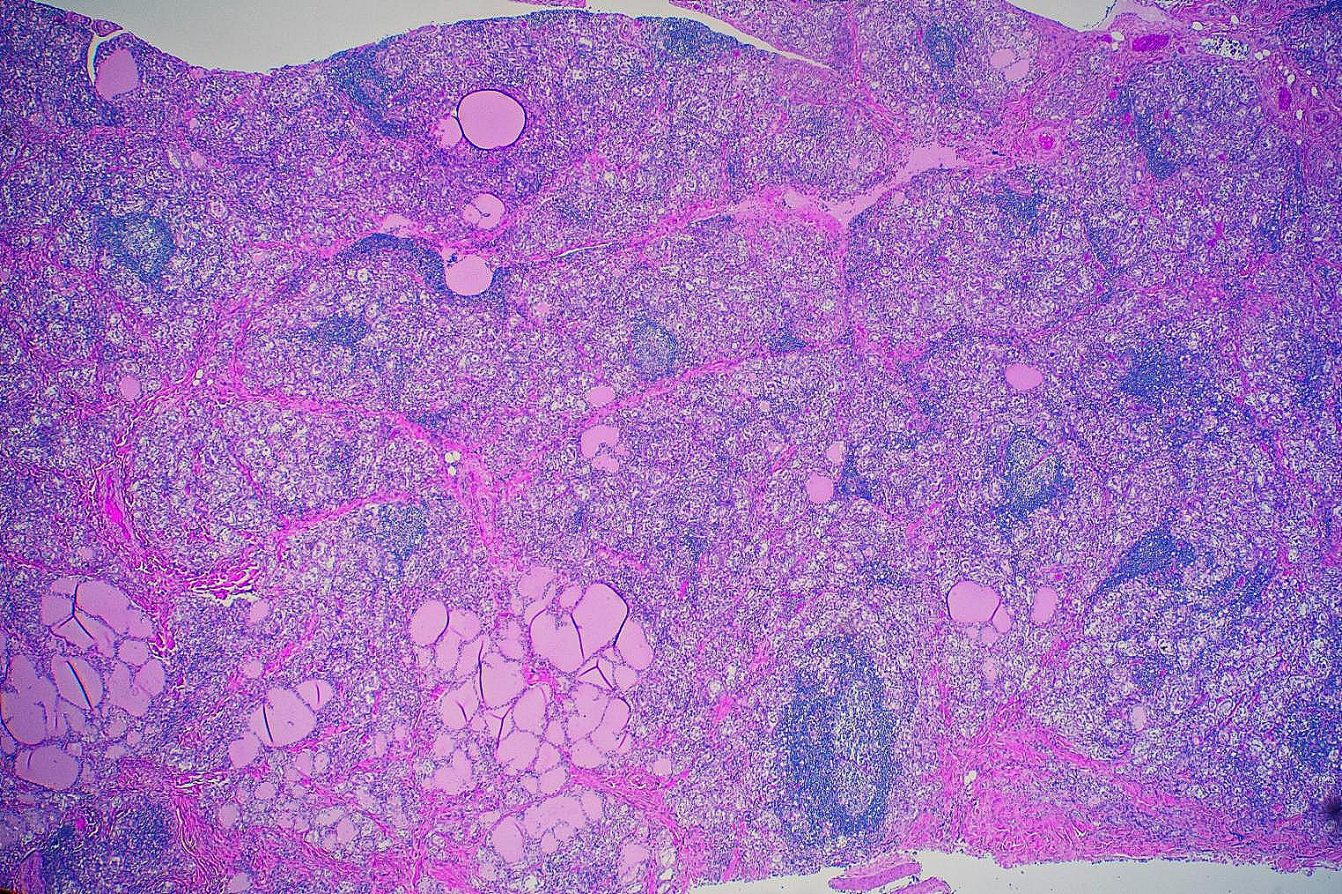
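This low-power view of the thyroid gland shows the normal follicular architecture largely replaced by a dense infiltrate of small, dark-staining lymphoid cells. Numerous rounded, darker blue lymphoid aggregates are scattered throughout, consistent with lymphoid follicles with germinal centres. Residual thyroid follicles containing homogeneous pink colloid persist in small groups, especially in the lower part of the field. Pink bands of fibrous tissue divide the gland into irregular nodules.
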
